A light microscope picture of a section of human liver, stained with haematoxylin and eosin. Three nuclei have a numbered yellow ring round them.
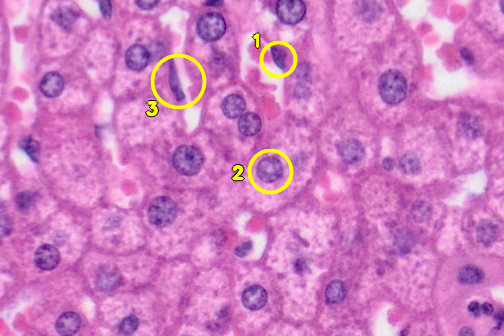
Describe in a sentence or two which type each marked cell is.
Cell 1 is an endothelial cell. Cell 2 is a hepatocyte. Cell 3 is a Kupffer cell.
